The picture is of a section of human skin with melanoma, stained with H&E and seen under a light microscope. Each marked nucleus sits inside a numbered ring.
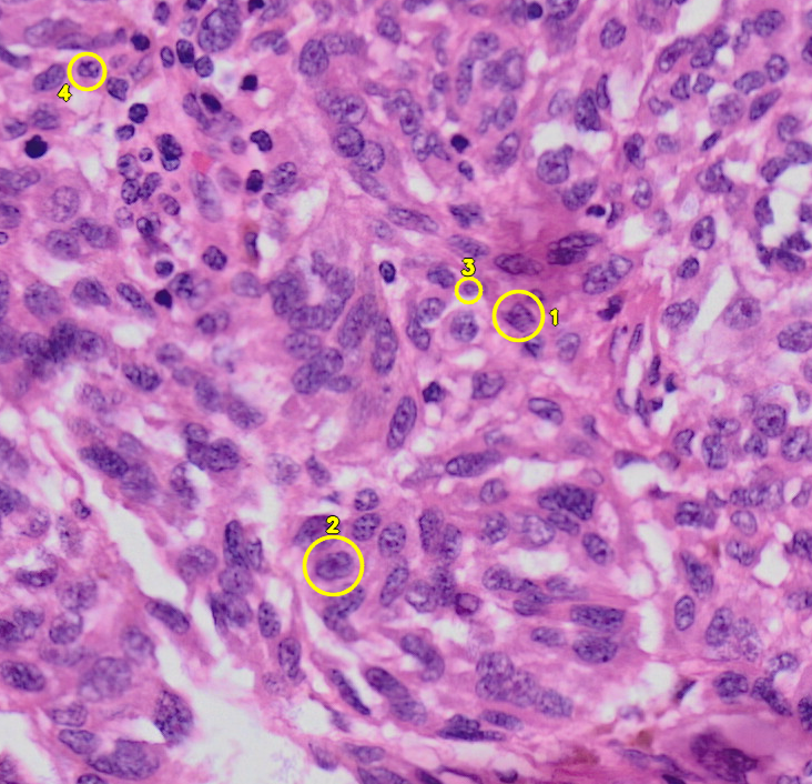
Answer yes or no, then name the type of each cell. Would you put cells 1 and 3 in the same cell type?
Yes, the cells marked 1 and 3 are both melanoma cells.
